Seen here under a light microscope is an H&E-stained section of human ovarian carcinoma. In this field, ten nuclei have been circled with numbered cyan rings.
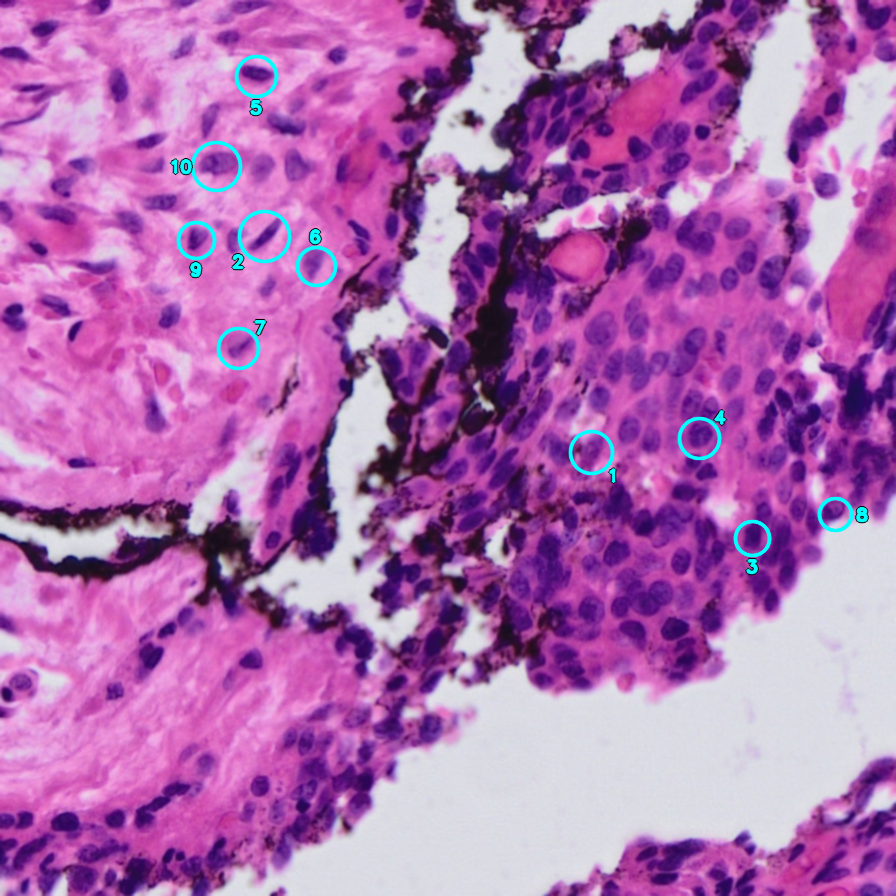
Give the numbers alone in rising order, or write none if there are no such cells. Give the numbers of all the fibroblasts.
2, 5, 6, 7, 9, 10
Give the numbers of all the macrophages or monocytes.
8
